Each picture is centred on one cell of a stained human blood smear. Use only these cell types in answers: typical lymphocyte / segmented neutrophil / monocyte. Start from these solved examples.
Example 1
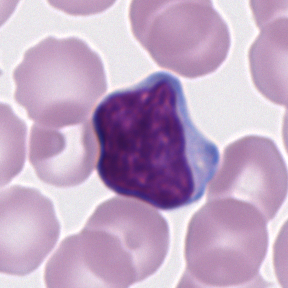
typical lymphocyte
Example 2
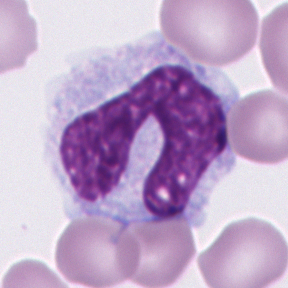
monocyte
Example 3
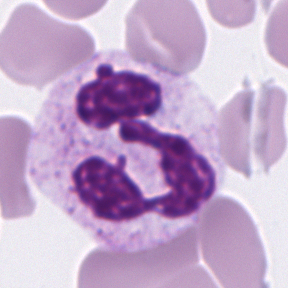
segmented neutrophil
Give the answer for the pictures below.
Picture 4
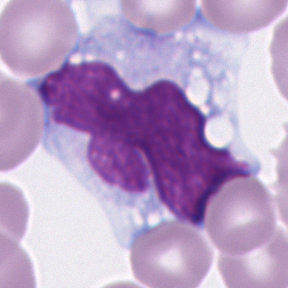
monocyte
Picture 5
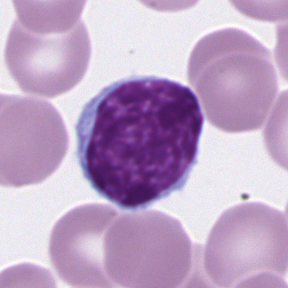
typical lymphocyte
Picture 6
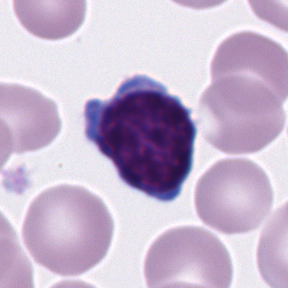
typical lymphocyte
